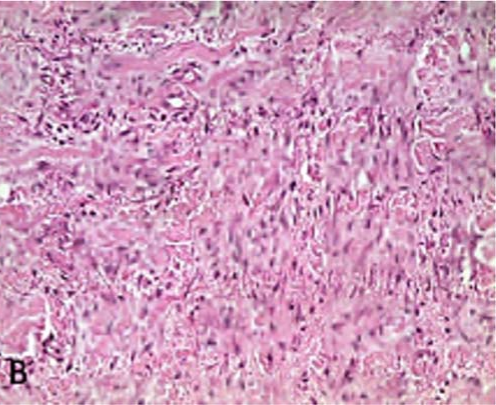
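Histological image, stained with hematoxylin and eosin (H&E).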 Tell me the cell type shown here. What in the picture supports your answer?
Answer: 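Many elongated cells with slender, tapered dark nuclei. The cells lie in loose streams within pink fibrillar stroma.
Conclusion: spindle cells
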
